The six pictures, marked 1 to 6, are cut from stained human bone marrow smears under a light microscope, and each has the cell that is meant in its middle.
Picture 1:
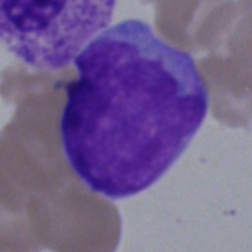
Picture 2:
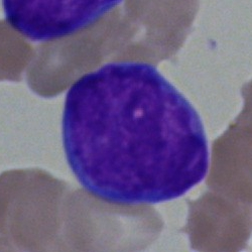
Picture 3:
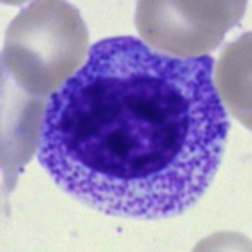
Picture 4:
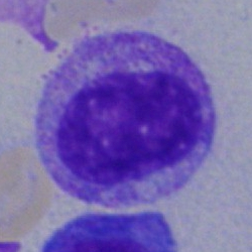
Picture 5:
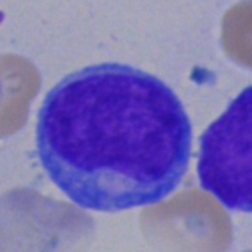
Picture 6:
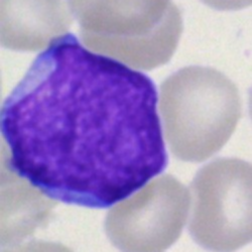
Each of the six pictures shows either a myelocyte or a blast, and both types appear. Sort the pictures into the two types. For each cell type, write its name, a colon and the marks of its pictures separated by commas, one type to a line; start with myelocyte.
myelocyte: 3, 4
blast: 1, 2, 5, 6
